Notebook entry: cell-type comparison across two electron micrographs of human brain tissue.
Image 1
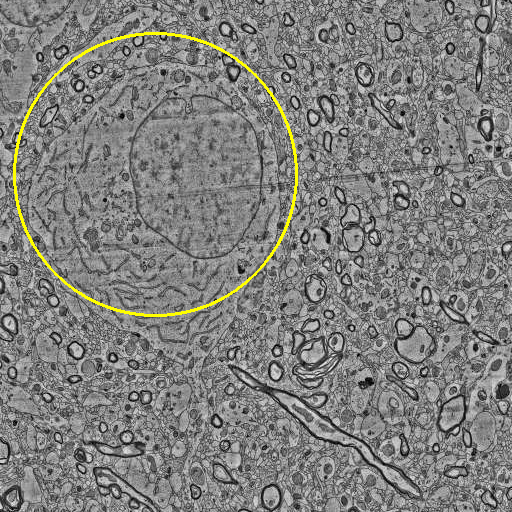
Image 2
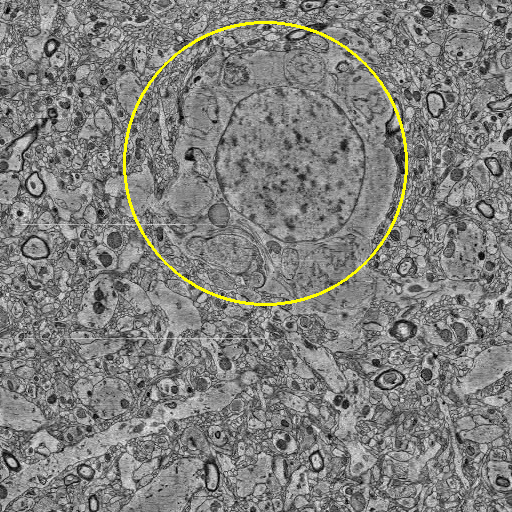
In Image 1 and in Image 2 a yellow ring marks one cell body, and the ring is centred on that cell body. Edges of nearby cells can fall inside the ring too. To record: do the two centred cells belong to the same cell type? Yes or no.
no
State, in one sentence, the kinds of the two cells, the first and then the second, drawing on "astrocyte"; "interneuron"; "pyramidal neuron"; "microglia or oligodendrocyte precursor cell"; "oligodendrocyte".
The ring in the second picture is centred on an astrocyte, the ring in the first on a pyramidal neuron.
